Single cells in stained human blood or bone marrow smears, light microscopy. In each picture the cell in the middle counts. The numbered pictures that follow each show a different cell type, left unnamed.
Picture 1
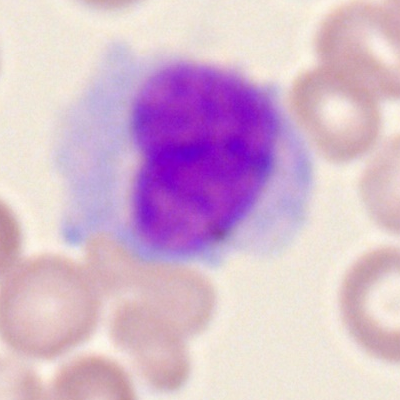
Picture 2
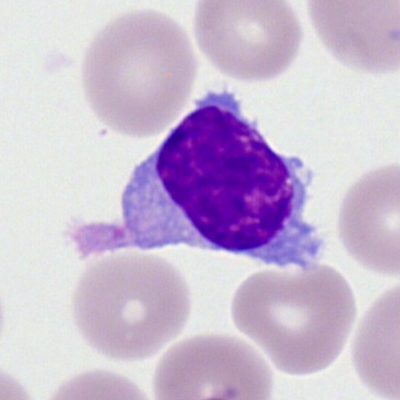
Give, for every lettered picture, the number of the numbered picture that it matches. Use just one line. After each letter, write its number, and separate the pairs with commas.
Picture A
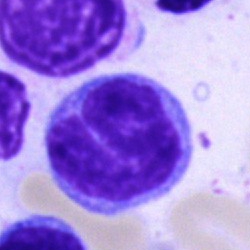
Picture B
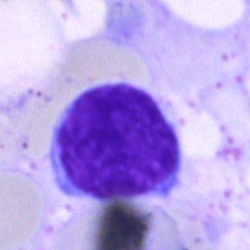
A 1, B 2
